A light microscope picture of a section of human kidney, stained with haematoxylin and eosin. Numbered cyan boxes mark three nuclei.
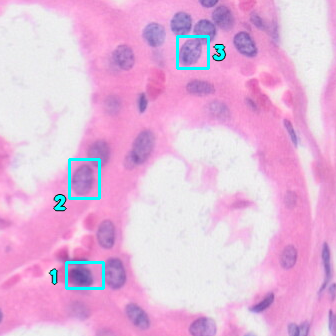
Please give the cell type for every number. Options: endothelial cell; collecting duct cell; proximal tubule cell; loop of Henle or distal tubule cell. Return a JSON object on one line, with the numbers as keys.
{"1": "endothelial cell", "2": "proximal tubule cell", "3": "collecting duct cell"}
